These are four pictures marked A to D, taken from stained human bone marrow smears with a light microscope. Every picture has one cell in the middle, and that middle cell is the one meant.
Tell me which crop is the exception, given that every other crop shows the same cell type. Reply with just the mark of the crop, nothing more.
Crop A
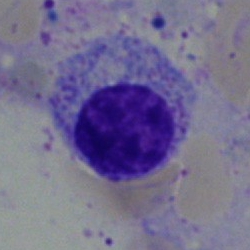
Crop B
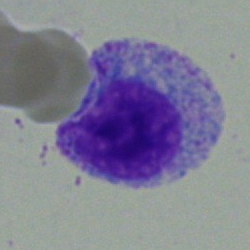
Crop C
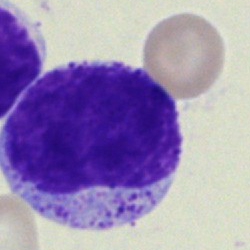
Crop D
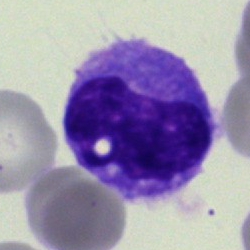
D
